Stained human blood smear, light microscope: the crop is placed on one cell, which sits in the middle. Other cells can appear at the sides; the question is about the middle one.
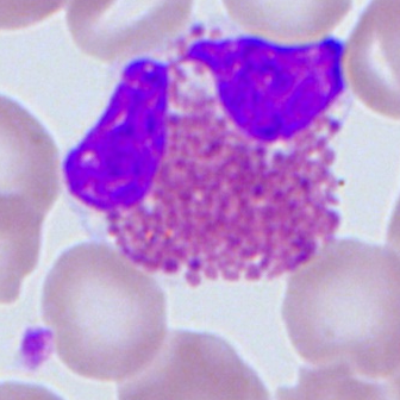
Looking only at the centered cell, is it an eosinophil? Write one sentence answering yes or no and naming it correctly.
Yes, the cell in the center of the field is an eosinophil.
